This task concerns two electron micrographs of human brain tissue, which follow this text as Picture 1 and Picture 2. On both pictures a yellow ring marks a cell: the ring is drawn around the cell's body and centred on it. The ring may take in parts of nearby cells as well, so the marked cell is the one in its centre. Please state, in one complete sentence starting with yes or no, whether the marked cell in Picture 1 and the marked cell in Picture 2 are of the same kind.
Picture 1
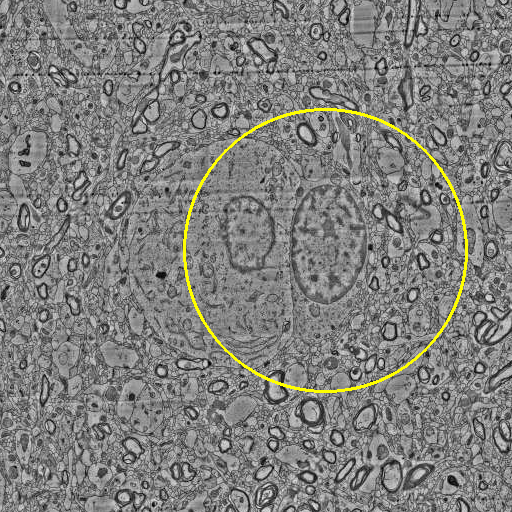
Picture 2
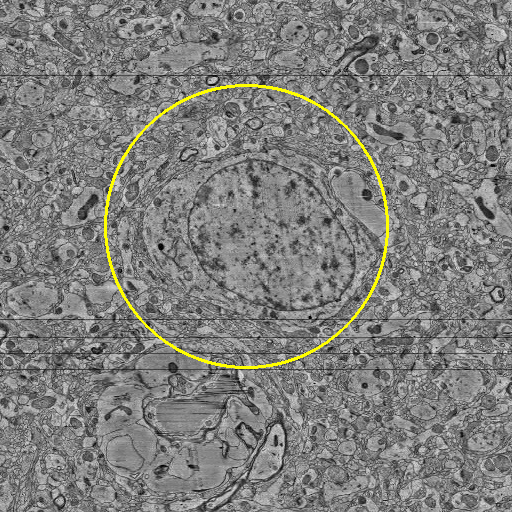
No, the marked cells in the two pictures are of two kinds.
